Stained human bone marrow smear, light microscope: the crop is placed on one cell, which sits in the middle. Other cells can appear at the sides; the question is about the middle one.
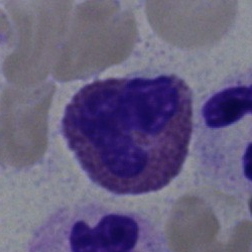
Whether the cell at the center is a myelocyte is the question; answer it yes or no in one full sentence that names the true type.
No, it is not a myelocyte that sits at the centre but an eosinophil.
